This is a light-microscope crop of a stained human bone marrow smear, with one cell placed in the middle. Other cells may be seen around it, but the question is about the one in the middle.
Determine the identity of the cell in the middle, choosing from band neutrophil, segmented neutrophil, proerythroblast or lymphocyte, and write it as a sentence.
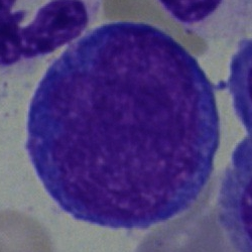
Among the cells in view, the one in the middle is a proerythroblast.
